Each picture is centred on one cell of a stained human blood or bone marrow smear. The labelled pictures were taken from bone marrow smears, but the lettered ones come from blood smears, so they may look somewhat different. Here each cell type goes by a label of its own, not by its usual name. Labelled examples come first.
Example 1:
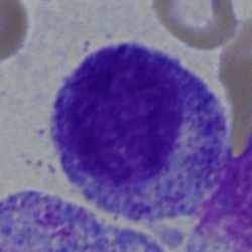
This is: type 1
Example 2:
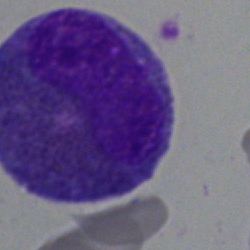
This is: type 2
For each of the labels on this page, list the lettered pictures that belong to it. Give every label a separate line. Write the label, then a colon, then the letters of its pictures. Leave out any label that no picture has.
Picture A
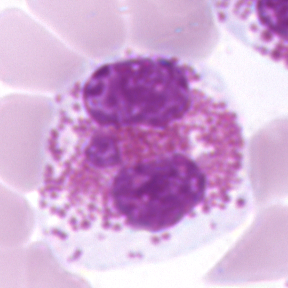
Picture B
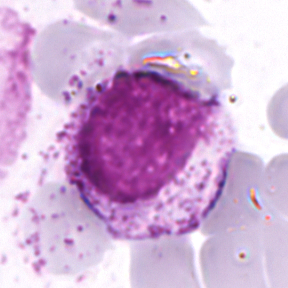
type 1: B
type 2: A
